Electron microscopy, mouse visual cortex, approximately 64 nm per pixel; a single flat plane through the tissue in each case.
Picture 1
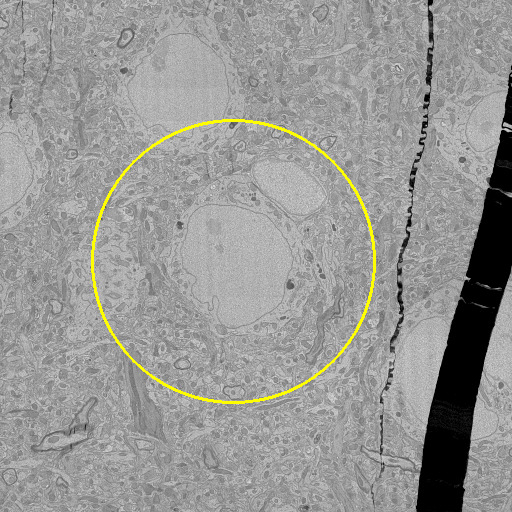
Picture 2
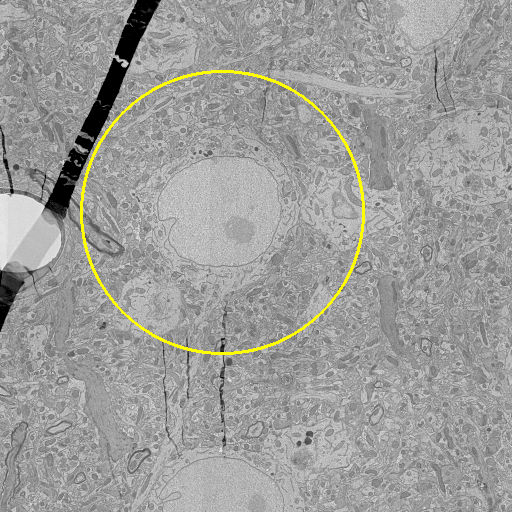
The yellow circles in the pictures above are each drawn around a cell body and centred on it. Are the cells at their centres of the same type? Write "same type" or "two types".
same type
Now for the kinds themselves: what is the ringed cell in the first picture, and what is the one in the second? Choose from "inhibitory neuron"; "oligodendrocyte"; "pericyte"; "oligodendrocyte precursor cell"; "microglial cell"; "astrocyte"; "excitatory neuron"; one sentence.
Each of the two pictures has an excitatory neuron at the ring centre.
